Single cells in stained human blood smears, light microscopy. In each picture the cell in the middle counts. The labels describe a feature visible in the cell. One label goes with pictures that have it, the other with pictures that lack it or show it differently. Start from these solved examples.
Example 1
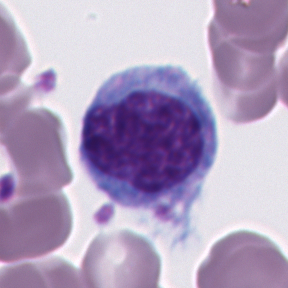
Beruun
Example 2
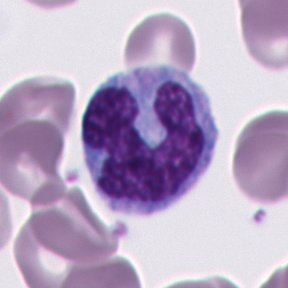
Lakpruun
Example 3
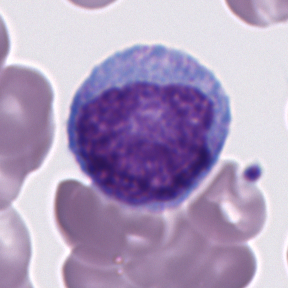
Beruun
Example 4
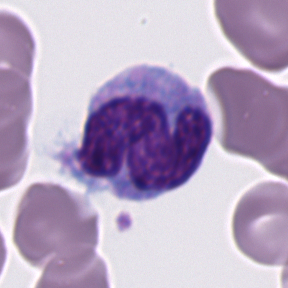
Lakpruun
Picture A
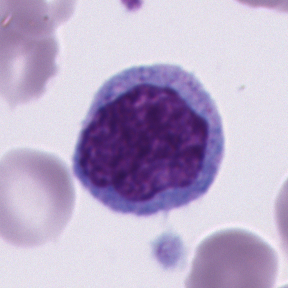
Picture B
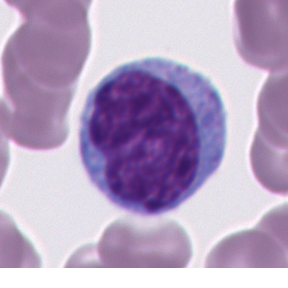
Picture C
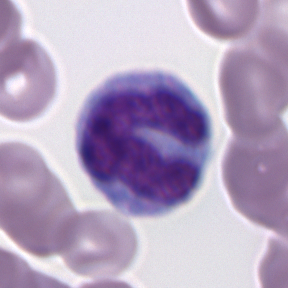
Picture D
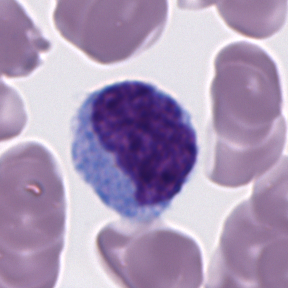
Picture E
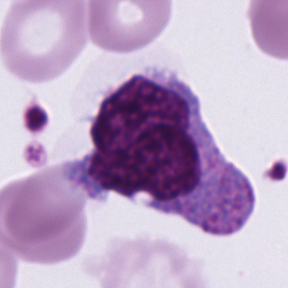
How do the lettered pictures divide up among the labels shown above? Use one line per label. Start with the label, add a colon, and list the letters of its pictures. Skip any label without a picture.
Beruun: A, B, D, E
Lakpruun: C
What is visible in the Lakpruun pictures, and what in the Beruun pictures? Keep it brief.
Seen in Lakpruun: band-shaped nucleus; seen in Beruun: round or oval nucleus.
